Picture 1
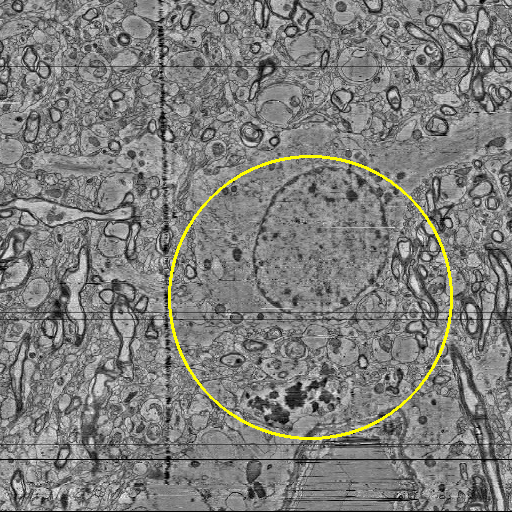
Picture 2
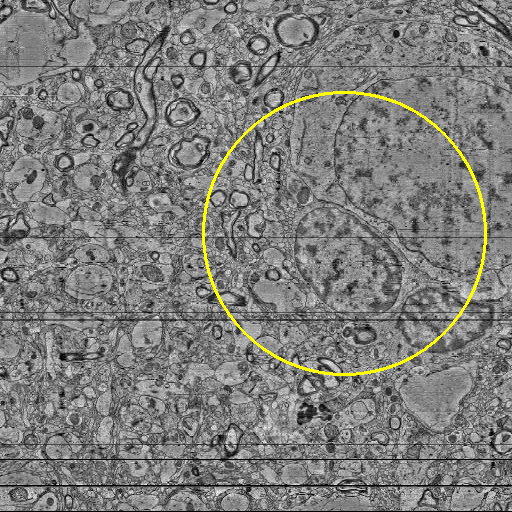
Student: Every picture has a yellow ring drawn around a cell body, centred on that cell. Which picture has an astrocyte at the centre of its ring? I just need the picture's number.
1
